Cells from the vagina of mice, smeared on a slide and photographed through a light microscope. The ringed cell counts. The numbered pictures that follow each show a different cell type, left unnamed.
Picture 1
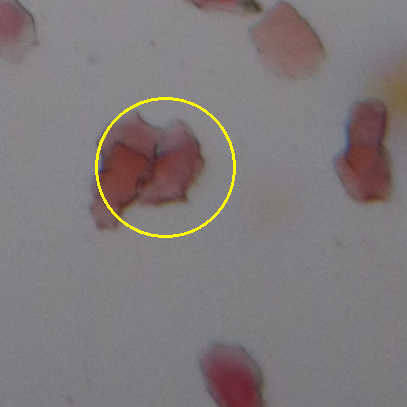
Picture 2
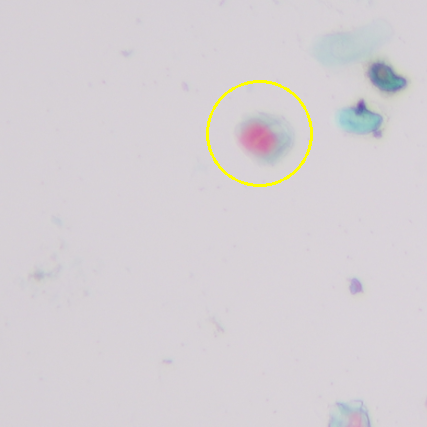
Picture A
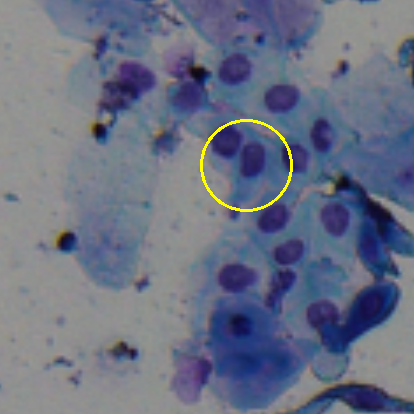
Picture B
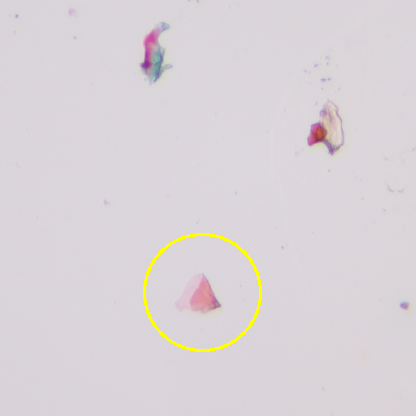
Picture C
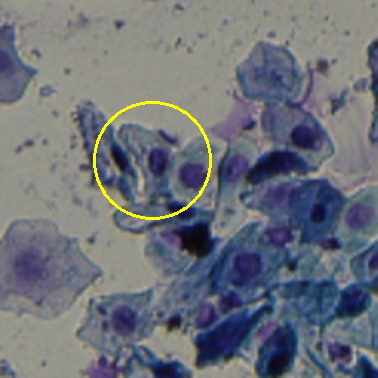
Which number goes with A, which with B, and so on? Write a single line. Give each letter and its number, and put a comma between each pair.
A 2, B 1, C 2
